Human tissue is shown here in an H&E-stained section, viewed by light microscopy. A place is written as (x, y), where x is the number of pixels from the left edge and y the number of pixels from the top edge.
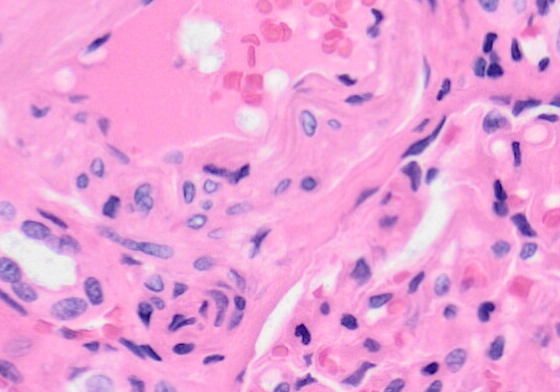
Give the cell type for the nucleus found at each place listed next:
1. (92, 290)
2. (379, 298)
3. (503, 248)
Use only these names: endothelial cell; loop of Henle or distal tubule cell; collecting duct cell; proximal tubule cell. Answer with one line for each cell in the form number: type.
1: collecting duct cell
2: endothelial cell
3: endothelial cell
